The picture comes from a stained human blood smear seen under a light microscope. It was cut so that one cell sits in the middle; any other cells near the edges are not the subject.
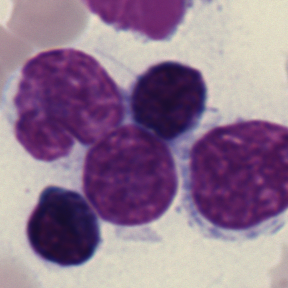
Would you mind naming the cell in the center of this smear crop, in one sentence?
The centrally positioned cell in the crop represents a blast.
